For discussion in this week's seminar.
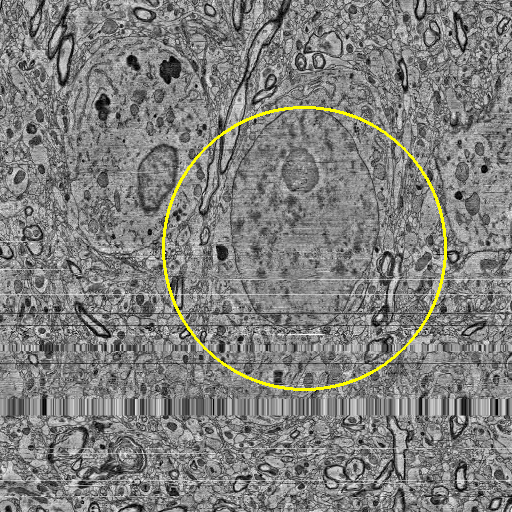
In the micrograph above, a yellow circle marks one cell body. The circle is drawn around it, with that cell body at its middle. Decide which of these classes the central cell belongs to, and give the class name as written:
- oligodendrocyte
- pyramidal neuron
pyramidal neuron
